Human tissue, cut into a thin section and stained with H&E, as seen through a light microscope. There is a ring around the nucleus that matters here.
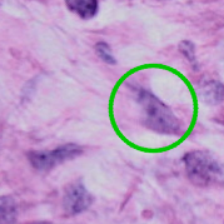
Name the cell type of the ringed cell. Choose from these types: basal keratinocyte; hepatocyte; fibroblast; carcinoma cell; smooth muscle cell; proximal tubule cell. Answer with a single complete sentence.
The cell meant here is a fibroblast.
